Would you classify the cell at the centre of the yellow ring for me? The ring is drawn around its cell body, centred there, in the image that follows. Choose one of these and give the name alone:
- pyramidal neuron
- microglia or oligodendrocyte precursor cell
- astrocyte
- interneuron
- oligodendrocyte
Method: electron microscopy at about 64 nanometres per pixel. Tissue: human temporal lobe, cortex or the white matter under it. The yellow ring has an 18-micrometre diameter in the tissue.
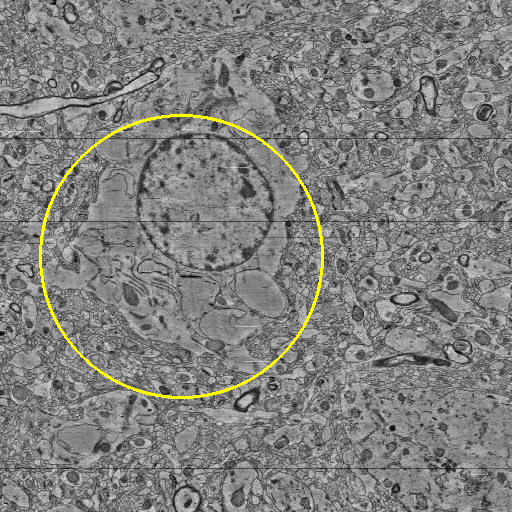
astrocyte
